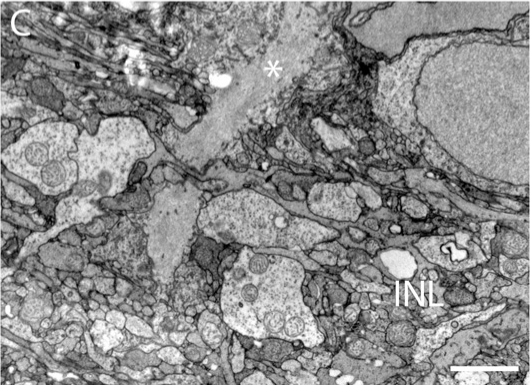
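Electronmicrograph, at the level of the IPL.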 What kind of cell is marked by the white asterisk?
Mΰller cell.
